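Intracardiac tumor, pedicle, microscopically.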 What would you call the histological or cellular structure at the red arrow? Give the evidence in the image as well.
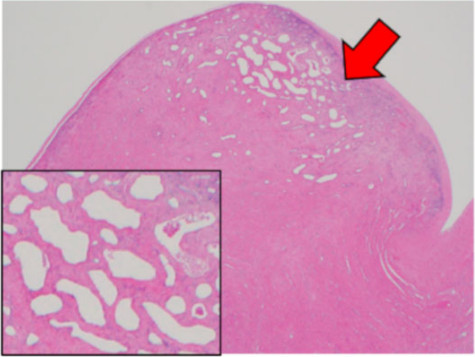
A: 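Many irregular empty channels cluster in the region by the arrow. The channels lie close together in pink tissue near the surface.
Conclusion: rich microvasculature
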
